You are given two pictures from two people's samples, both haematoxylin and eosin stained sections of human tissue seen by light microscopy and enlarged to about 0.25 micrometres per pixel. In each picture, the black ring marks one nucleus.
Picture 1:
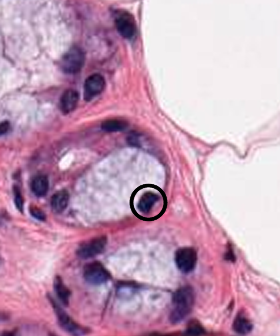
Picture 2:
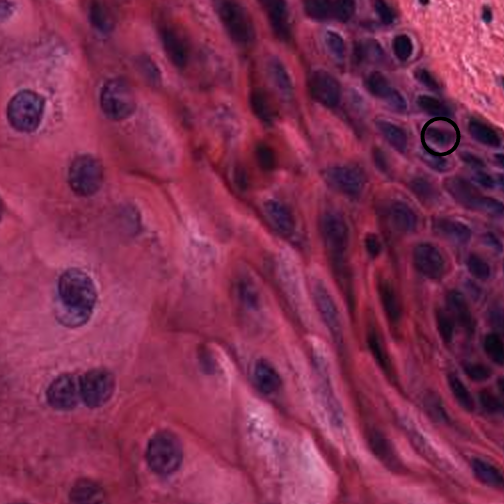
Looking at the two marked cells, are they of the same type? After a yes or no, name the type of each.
No, the first is a mucous gland cell and the second a squamous epithelial cell.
